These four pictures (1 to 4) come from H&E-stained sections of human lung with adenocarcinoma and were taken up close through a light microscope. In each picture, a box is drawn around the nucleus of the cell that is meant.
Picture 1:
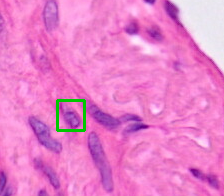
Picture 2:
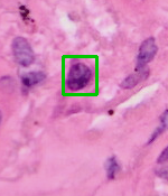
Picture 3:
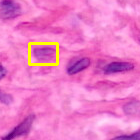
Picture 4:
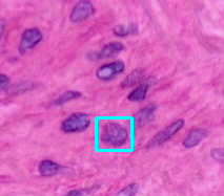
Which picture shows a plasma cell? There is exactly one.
2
